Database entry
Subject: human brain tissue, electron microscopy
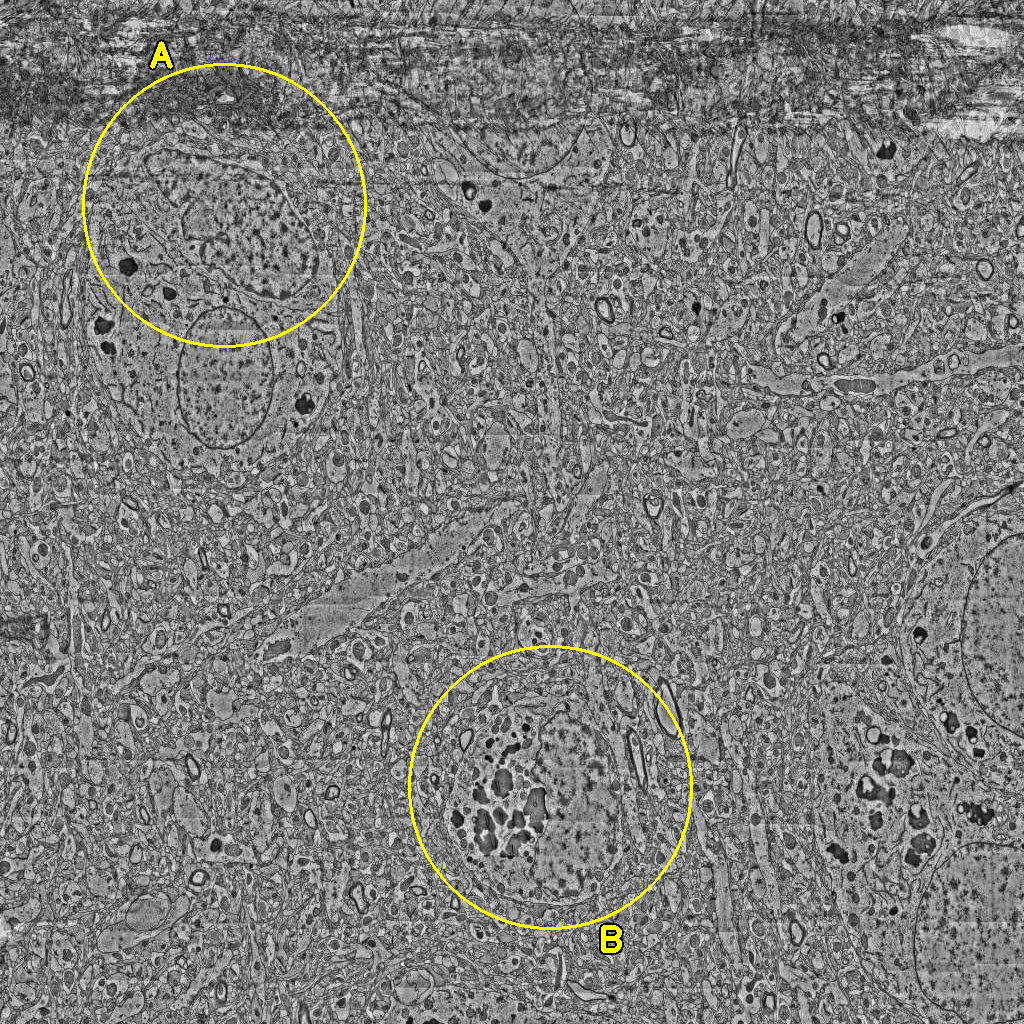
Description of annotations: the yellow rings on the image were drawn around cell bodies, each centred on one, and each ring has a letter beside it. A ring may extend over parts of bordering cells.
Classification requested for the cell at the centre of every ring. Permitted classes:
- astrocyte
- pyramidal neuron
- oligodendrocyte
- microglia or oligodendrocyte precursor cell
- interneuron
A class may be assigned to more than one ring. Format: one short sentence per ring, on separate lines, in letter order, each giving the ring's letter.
The cell body at the centre of ring A is a microglial cell or oligodendrocyte precursor cell.
The cell body at the centre of ring B is an interneuron.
